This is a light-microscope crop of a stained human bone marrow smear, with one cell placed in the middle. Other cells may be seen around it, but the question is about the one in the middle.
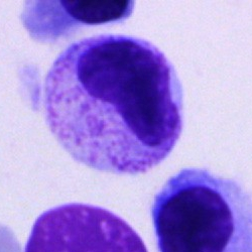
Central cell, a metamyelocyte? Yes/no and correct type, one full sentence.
Yes, placed in the middle of the crop is a metamyelocyte.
